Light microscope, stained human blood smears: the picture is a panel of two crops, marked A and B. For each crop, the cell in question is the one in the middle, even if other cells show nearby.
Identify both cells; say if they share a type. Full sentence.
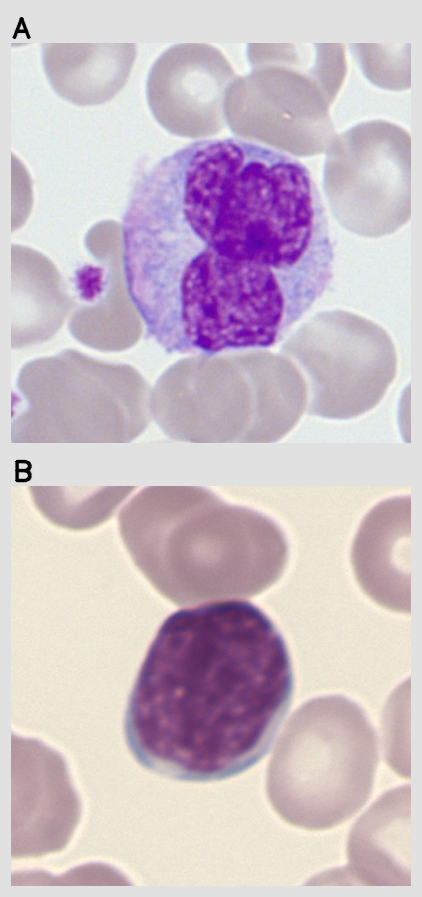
No, in this case crop A shows a monocyte, and crop B shows a blast.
